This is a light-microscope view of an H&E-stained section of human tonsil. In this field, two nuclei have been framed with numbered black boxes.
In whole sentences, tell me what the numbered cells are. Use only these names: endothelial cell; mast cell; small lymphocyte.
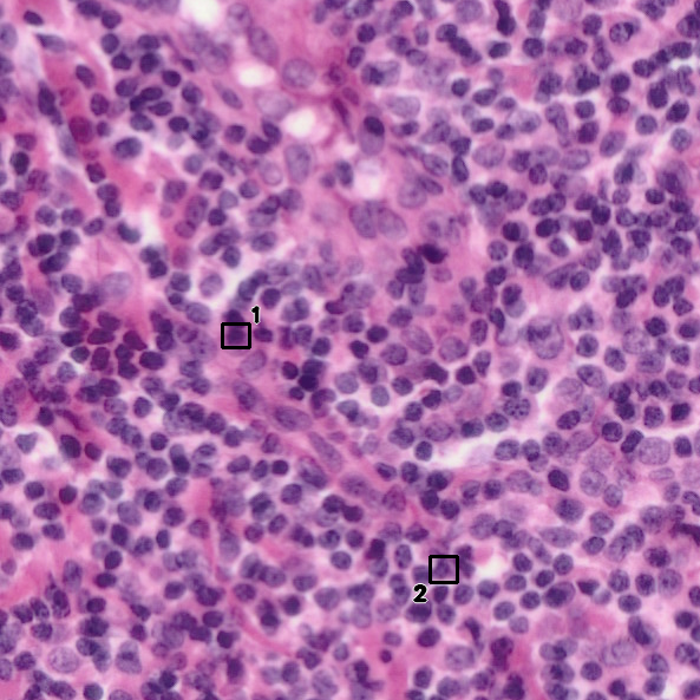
Cell 1 is an endothelial cell. Cell 2 is a small lymphocyte.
